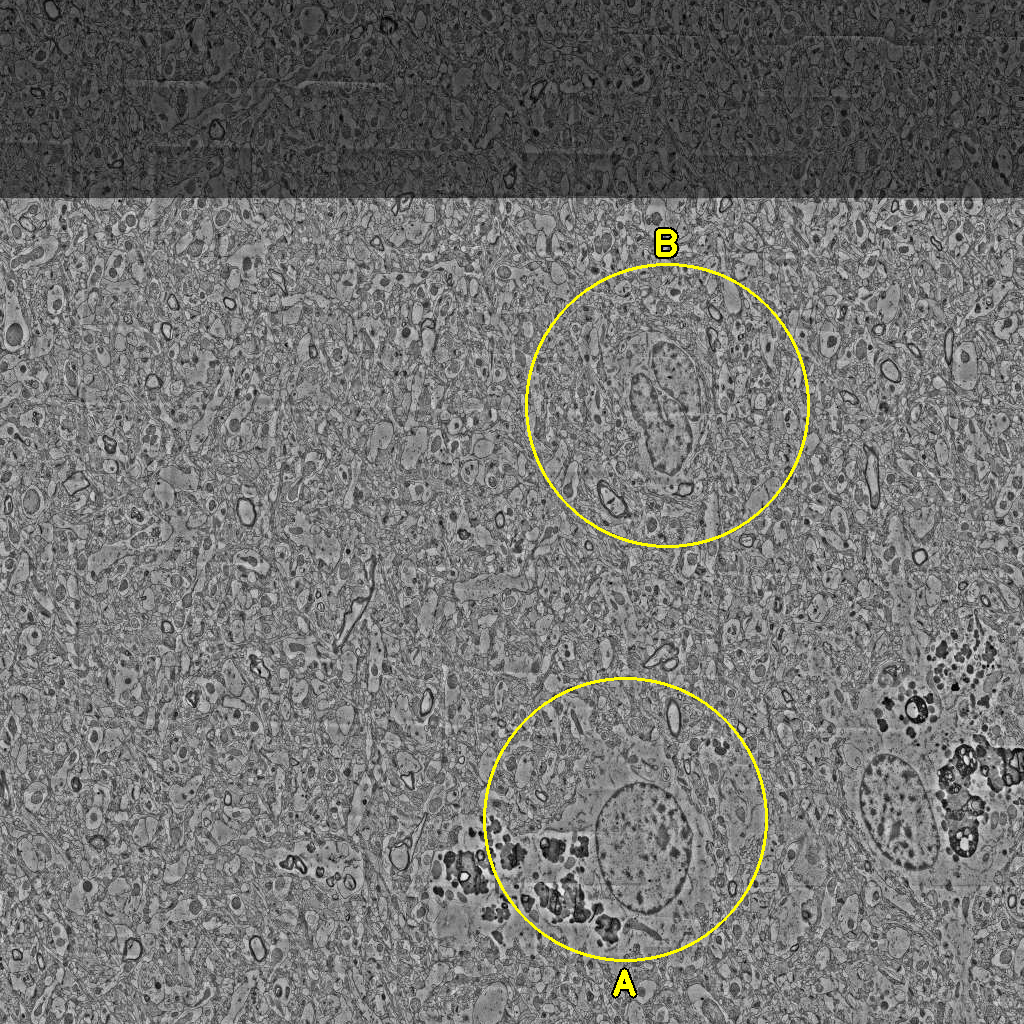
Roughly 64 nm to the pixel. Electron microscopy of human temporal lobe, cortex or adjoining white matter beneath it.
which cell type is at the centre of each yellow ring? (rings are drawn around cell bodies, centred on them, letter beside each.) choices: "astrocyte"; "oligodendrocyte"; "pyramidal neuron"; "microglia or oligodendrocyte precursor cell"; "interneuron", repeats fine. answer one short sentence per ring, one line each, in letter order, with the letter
Ring A is an astrocyte.
Ring B is a microglial cell or oligodendrocyte precursor cell.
